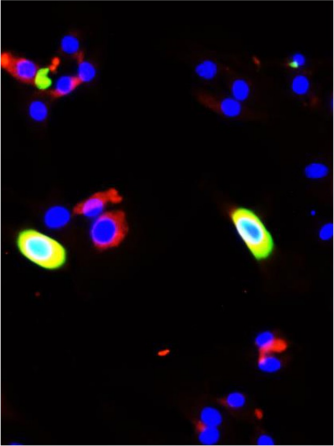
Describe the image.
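Scattered cultured cells are seen on a dark background, each with a round or oval blue nucleus. Two cells in the middle are oval with a bright ring of cytoplasm that appears yellow-green where green and red overlap around a central nucleus. Other cells show only red cytoplasm, some irregular or clustered at the upper left, and many nuclei sit without any surrounding colour.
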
